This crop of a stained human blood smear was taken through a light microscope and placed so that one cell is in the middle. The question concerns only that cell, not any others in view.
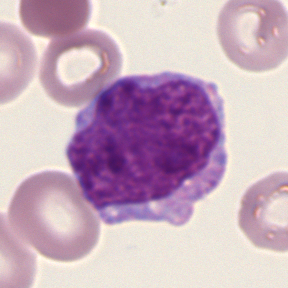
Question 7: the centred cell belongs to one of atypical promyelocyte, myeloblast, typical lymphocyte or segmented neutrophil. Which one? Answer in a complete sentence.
What the crop centres on is an atypical promyelocyte.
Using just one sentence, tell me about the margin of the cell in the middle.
A smooth outline is absent here, replaced by ragged stretches or projections.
